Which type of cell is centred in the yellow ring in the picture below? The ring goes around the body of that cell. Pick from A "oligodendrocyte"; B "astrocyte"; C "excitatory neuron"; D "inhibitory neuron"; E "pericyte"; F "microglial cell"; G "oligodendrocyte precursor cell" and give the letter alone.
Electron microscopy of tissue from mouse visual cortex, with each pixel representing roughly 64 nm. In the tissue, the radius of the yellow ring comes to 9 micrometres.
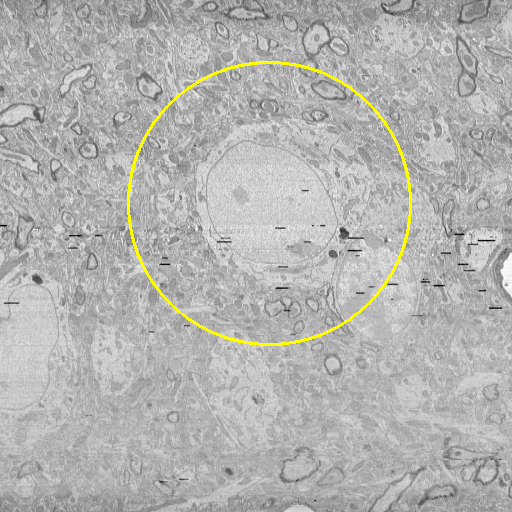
C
